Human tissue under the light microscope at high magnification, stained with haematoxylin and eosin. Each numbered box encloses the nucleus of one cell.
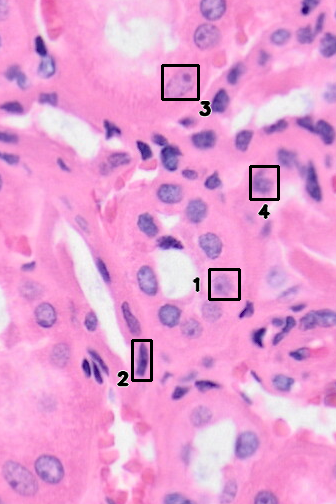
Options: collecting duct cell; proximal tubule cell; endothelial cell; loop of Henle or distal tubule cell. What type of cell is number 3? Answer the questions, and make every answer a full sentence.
The cell carrying label 3 is identified as a proximal tubule cell.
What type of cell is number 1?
The mark numbered 1 indicates the nucleus of a loop of Henle or distal tubule cell.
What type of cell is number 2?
The cell to which the number 2 is assigned is a collecting duct cell.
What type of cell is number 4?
As for number 4, that cell is a collecting duct cell.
